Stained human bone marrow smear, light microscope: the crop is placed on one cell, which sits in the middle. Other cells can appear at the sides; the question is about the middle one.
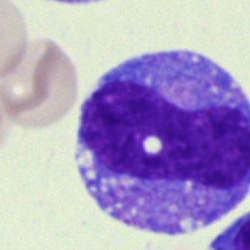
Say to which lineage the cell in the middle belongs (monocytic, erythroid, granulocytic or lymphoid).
monocytic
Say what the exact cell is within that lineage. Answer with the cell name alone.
monocyte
